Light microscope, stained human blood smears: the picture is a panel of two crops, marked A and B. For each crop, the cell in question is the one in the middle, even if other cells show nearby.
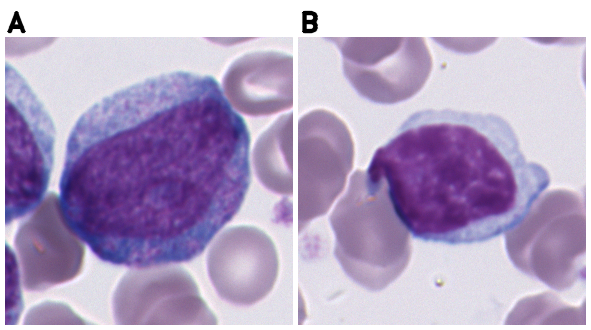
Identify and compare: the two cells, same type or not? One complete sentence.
No, a promyelocyte is in crop A, and a myeloblast is in crop B.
